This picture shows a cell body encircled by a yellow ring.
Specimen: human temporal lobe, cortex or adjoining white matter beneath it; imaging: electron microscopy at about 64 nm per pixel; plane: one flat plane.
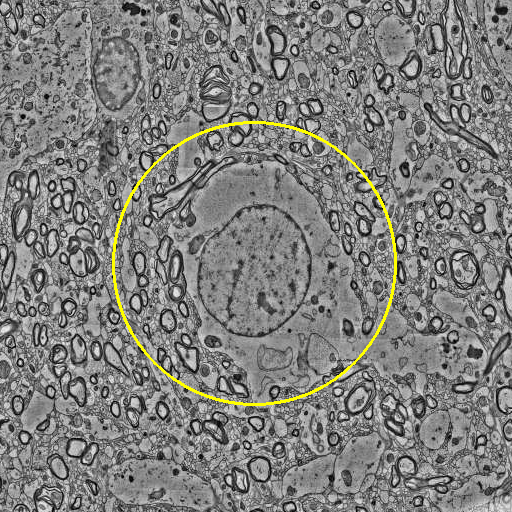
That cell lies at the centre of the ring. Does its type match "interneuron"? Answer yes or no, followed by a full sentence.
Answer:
No, in the picture, the ring surrounds a cell of another type at its centre.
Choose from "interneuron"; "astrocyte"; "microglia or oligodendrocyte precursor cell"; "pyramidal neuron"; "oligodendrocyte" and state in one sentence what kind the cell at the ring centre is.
Here, the ring is centred on an astrocyte instead.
